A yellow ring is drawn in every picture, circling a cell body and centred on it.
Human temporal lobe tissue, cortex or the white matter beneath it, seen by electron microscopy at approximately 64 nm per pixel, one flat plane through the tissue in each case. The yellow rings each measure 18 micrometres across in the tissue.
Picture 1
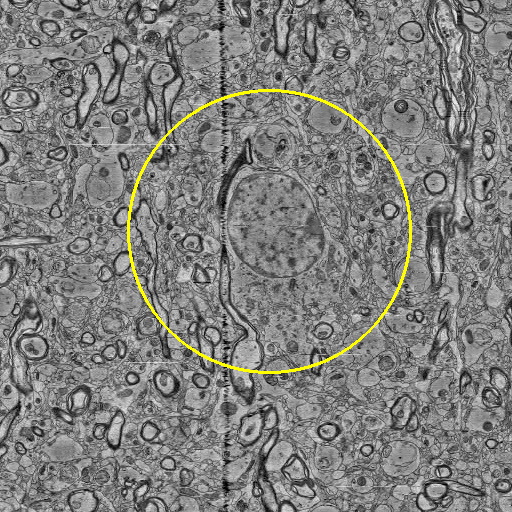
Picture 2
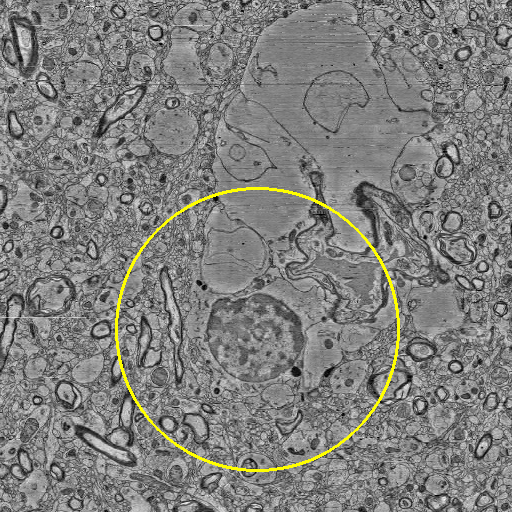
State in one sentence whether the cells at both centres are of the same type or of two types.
The cells at the two ring centres, one per picture, are of the same type.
